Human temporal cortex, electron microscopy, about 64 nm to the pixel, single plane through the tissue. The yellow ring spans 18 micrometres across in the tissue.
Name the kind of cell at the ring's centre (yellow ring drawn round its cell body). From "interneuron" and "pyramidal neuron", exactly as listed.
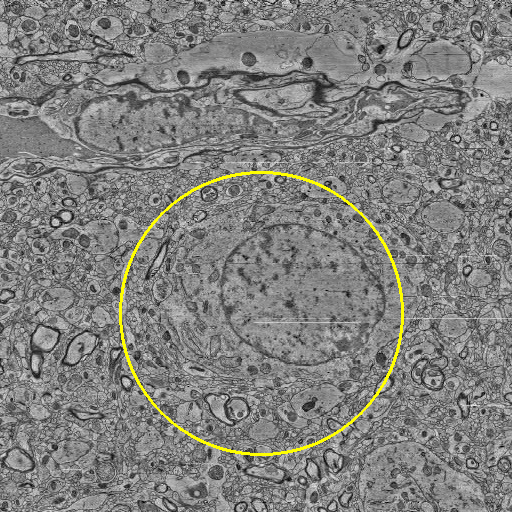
interneuron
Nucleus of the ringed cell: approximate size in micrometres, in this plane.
About 11 micrometres by about 9 micrometres in this plane.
